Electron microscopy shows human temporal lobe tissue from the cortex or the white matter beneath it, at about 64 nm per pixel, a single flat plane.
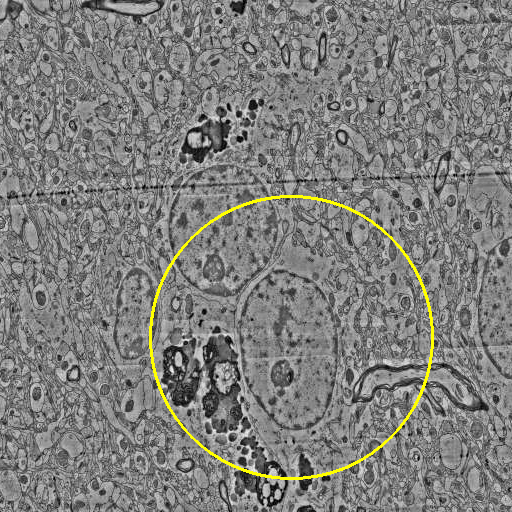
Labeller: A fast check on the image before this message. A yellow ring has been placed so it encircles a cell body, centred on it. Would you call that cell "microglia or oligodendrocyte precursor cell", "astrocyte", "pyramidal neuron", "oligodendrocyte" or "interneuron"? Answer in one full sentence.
In this image, an astrocyte is the cell on which the yellow ring is centred.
